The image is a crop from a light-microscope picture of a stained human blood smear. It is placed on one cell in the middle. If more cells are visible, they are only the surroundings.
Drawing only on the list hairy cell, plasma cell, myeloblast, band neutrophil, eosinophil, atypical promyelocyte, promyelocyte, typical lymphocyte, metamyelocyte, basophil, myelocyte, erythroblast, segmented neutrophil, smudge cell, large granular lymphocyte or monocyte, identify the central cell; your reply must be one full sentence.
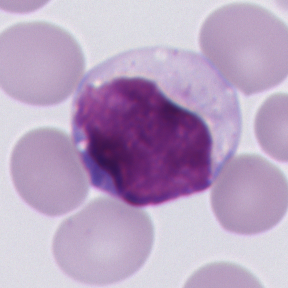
Classified as a large granular lymphocyte is the cell in the middle of this crop.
